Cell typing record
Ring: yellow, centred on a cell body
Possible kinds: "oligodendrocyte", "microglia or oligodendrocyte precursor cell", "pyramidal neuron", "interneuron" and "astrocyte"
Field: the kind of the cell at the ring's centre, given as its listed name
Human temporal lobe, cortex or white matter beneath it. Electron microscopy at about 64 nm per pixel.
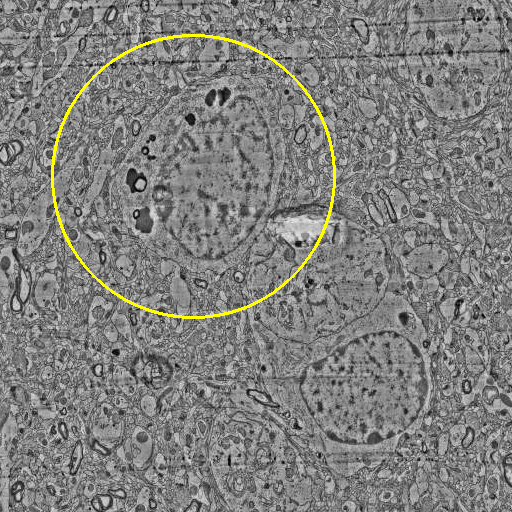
interneuron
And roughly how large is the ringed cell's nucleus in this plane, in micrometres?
Roughly 11 by 7 micrometers, clearly longer than it is wide in this plane.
